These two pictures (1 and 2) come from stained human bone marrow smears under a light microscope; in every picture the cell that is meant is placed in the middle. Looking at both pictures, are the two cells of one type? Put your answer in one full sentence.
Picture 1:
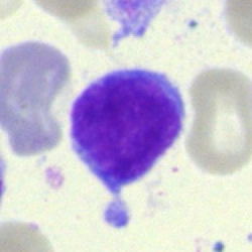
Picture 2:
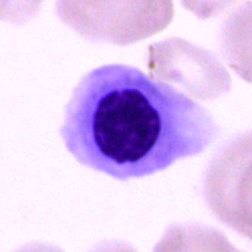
No. Picture 1 shows a lymphocyte, but picture 2 shows an erythroblast.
